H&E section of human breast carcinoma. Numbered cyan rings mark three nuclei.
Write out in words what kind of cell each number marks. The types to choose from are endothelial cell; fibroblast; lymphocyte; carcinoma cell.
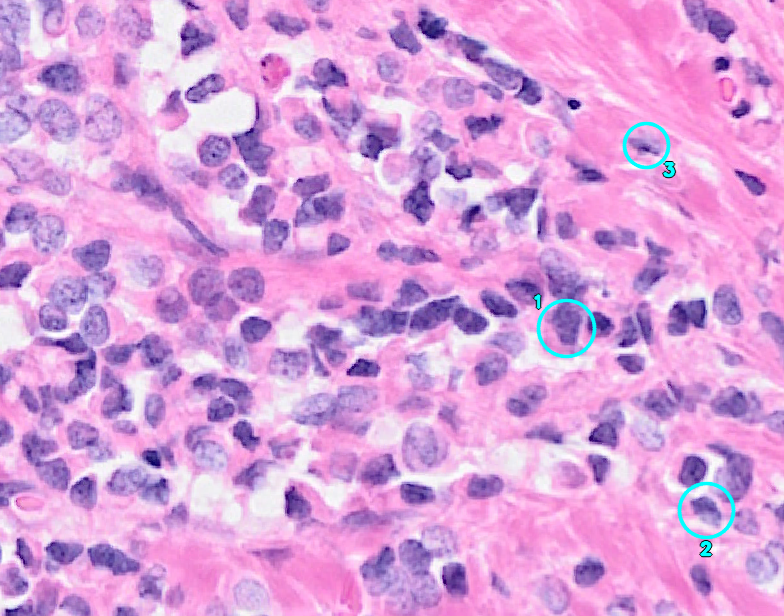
Cell 1 is a carcinoma cell, cell 2 is a carcinoma cell and cell 3 is a fibroblast.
